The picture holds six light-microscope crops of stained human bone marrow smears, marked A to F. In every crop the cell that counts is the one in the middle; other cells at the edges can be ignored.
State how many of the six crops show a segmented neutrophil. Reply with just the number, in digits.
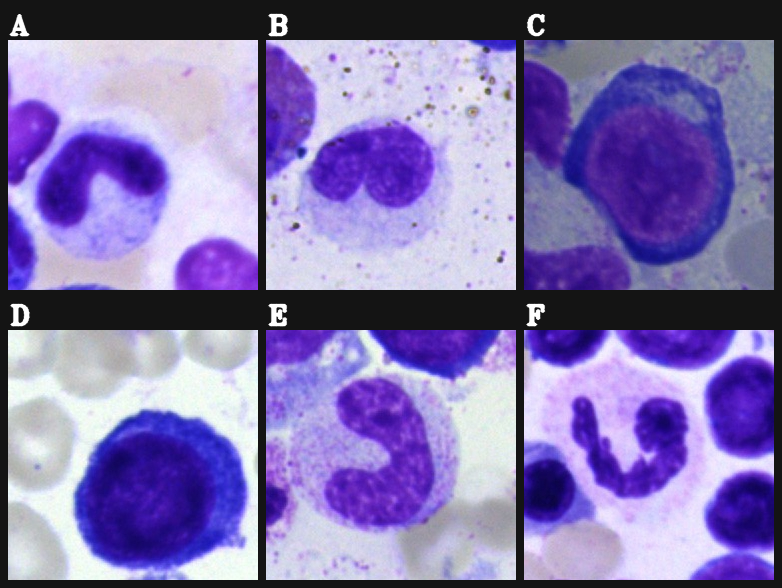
1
